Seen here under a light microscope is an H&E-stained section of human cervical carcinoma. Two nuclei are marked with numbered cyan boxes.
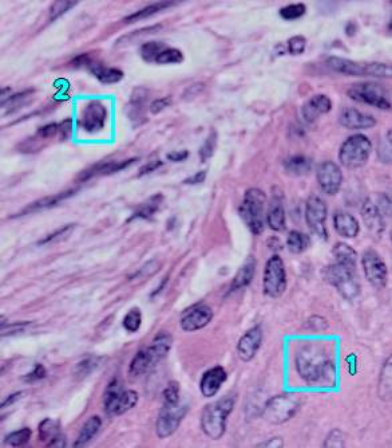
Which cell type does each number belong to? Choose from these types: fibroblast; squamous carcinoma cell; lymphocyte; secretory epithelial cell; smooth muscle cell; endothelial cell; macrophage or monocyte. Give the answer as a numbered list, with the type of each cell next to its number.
1. squamous carcinoma cell
2. lymphocyte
